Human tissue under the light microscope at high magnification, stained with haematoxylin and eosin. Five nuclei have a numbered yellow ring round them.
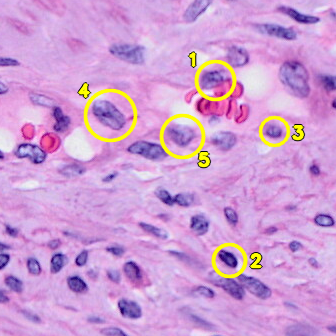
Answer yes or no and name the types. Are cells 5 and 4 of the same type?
Yes, both are endothelial cells.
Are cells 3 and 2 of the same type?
No, cell 3 is a smooth muscle cell and cell 2 is a lymphocyte.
